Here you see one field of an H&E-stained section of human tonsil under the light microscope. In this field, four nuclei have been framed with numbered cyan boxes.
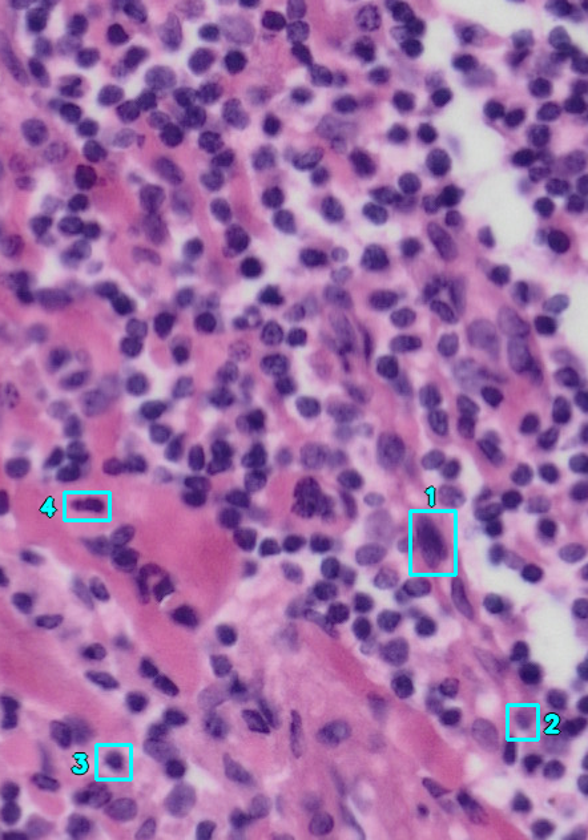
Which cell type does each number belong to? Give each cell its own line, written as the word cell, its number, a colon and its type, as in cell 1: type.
cell 1: endothelial cell
cell 2: endothelial cell
cell 3: mast cell
cell 4: mast cell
